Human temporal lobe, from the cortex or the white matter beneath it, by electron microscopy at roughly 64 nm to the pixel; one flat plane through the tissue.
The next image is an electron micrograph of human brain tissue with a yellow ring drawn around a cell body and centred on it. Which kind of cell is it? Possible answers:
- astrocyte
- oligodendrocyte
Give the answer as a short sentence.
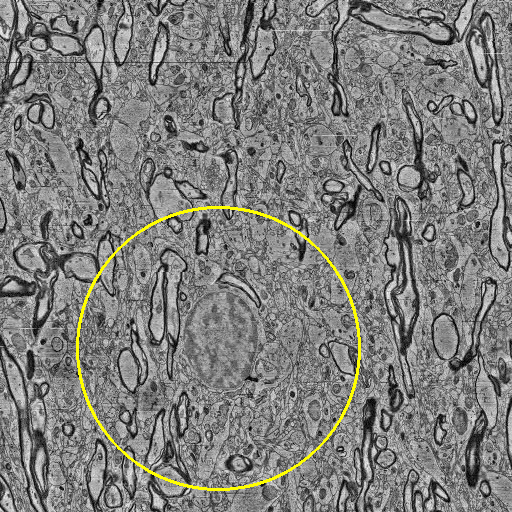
In the ring's centre is an oligodendrocyte.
